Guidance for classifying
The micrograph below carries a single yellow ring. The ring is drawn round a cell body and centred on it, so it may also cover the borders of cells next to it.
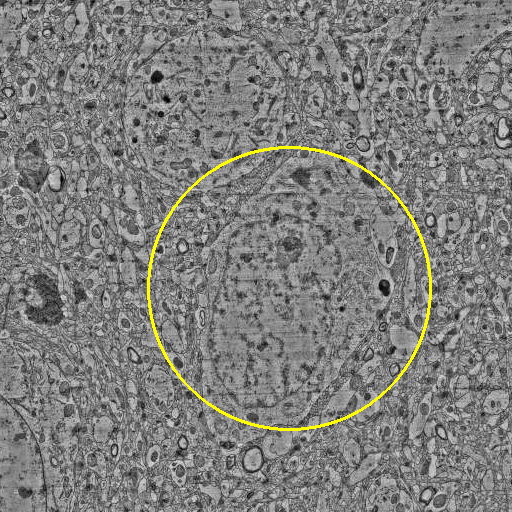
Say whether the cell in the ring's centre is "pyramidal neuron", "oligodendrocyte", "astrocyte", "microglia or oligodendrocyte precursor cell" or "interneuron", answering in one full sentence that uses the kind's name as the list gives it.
Within the yellow ring, an interneuron is the cell whose body sits at the centre.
